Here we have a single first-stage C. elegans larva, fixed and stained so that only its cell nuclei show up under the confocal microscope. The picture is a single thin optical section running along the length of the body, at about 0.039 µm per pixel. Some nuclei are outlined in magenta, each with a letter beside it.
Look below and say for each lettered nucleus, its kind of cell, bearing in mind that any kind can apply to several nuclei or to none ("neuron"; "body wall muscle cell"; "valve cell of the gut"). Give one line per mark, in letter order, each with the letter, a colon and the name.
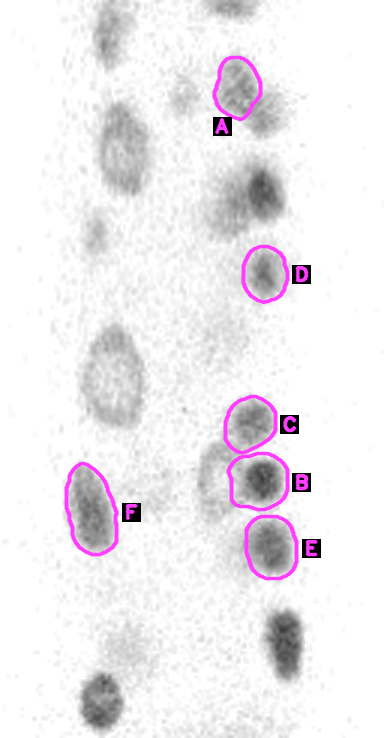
A: body wall muscle cell
B: neuron
C: body wall muscle cell
D: neuron
E: neuron
F: body wall muscle cell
